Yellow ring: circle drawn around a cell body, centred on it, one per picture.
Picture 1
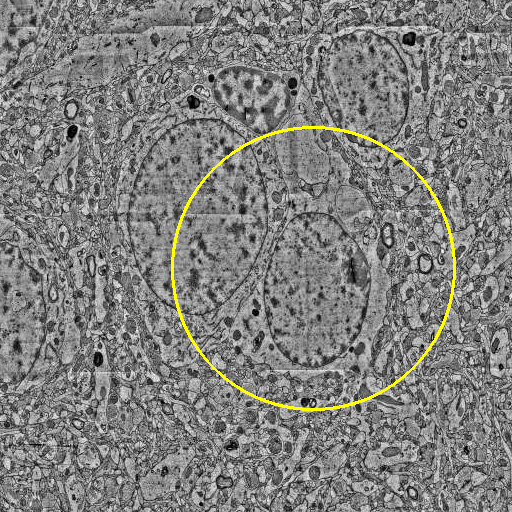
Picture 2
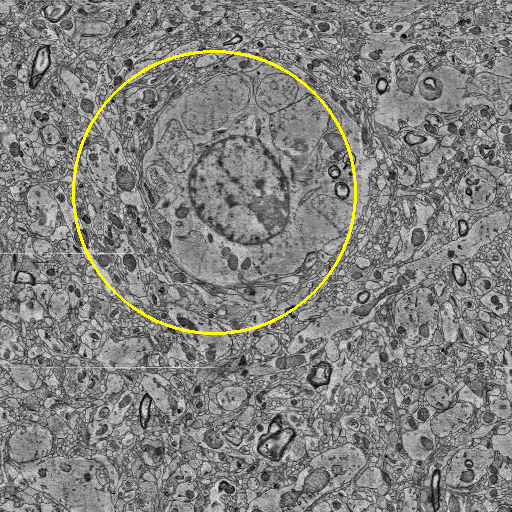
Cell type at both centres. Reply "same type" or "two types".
same type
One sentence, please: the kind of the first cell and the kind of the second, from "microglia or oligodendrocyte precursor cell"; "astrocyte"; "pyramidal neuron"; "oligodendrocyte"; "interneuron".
Each one of the two ringed cells is an astrocyte.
